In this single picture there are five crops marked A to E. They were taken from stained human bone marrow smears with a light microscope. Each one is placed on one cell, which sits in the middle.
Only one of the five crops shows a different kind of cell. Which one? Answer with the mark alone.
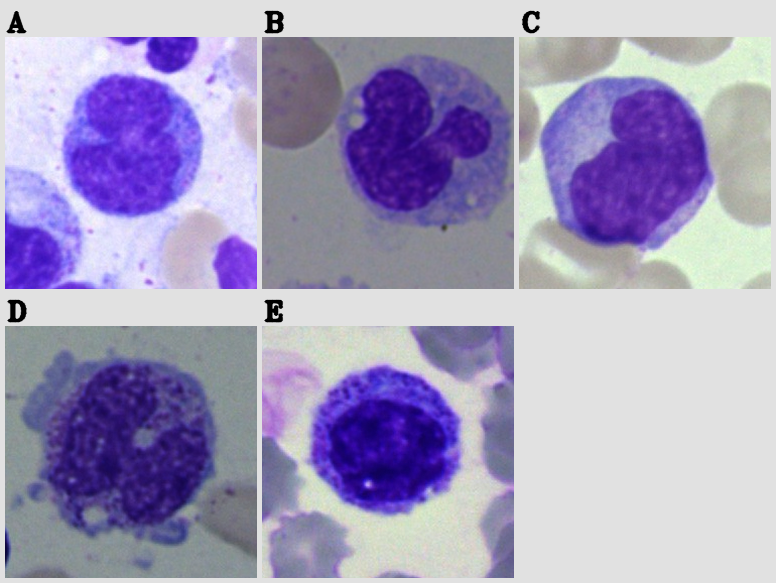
E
